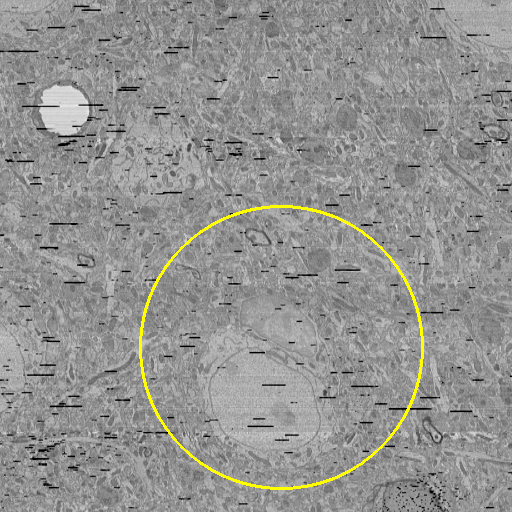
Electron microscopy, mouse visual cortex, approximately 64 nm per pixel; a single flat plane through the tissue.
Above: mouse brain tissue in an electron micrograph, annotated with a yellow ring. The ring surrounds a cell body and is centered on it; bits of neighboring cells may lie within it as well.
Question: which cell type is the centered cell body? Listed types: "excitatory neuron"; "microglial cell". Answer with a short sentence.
The centered cell body is a microglial cell.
